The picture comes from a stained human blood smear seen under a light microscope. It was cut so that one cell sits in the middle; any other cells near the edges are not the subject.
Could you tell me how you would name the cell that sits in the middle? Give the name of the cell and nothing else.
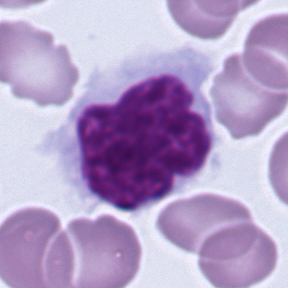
hairy cell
